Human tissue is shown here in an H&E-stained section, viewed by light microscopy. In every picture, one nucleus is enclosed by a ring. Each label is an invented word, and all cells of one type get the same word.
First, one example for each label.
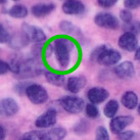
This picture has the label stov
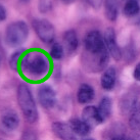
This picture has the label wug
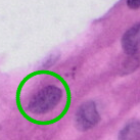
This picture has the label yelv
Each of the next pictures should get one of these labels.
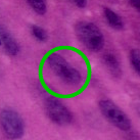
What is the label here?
yelv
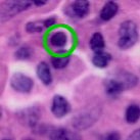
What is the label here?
wug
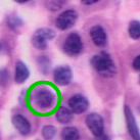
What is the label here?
wug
